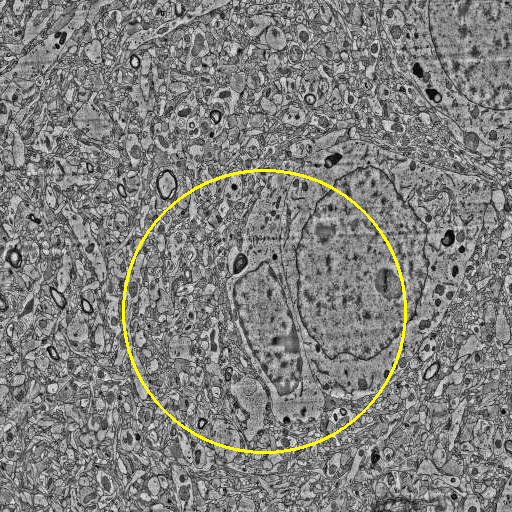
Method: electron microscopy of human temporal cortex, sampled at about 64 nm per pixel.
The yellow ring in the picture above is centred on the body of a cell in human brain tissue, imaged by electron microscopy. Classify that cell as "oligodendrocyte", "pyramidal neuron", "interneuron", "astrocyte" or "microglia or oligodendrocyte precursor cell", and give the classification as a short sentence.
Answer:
The cell in the middle of the ring is a microglial cell or oligodendrocyte precursor cell.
